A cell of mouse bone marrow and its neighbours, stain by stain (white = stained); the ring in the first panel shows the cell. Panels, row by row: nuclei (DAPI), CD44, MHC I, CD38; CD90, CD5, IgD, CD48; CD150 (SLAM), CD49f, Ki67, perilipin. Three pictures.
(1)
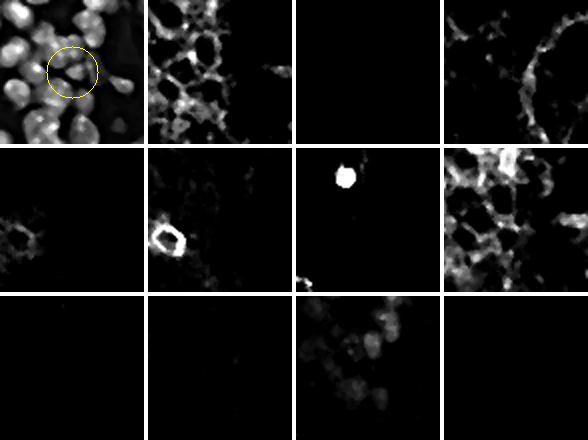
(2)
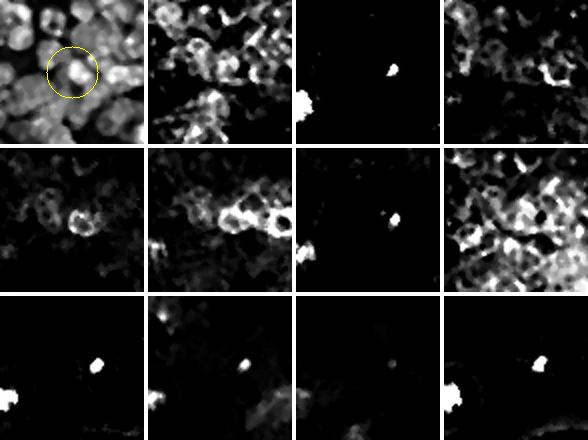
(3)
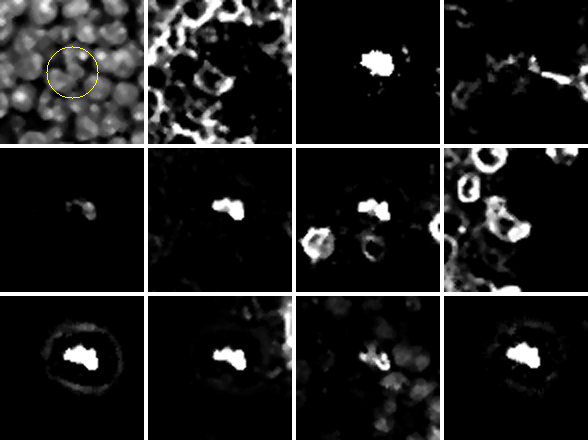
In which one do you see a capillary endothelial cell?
In picture 1.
